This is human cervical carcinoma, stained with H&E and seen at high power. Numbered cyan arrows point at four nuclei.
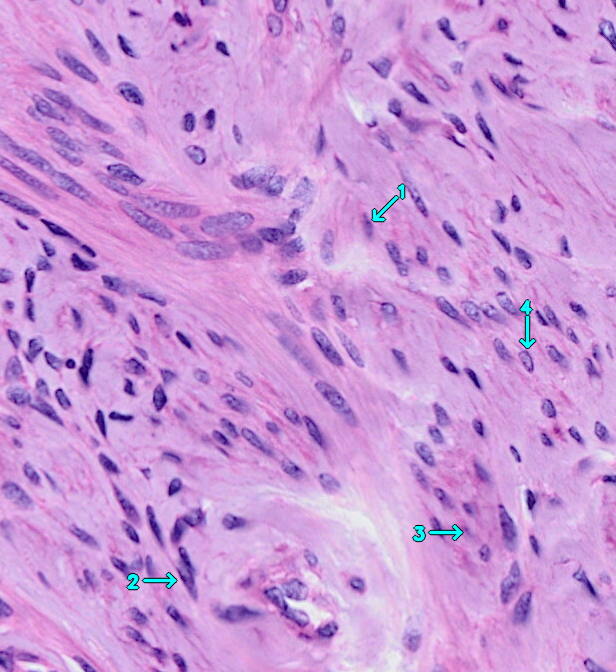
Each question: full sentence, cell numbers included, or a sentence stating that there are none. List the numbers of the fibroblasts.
Exactly one numbered cell is a fibroblast, and that cell is number 2.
